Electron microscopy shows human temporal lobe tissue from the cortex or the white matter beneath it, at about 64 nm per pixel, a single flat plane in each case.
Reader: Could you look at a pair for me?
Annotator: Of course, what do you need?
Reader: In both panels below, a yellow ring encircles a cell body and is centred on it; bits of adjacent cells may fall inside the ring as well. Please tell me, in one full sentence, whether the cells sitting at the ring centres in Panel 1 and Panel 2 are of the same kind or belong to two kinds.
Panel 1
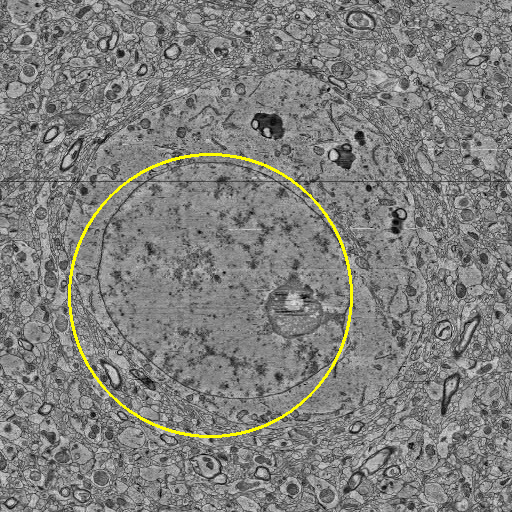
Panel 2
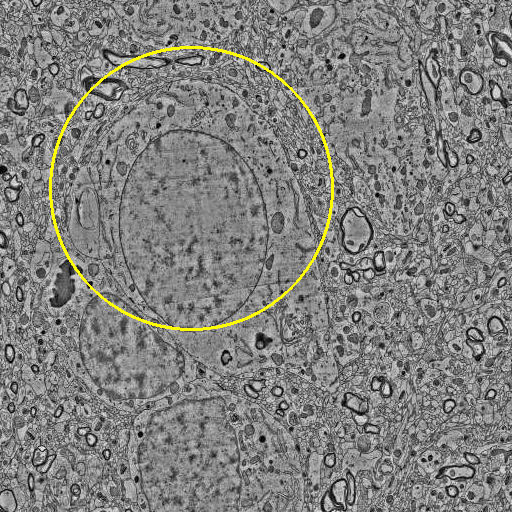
The cell at the ring's centre in Panel 1 and the one in Panel 2 are of the same kind.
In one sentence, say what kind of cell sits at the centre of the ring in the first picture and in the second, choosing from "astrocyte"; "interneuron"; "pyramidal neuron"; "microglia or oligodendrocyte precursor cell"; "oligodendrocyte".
The ring centre holds a pyramidal neuron in each of the two pictures.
